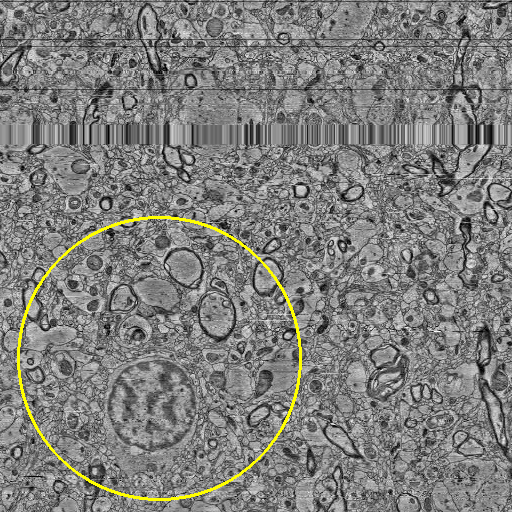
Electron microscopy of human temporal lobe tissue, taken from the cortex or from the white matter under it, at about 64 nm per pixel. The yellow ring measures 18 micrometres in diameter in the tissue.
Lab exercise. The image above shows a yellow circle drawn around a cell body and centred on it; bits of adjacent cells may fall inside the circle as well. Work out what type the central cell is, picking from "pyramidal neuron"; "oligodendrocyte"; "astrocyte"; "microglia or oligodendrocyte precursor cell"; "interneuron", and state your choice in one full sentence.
In the image above, the cell at the centre of the yellow circle is an oligodendrocyte.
